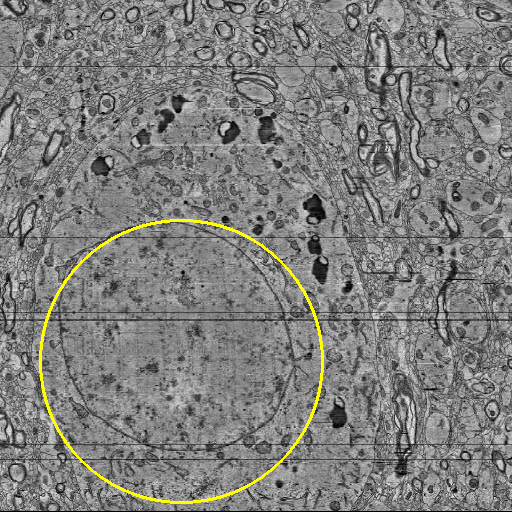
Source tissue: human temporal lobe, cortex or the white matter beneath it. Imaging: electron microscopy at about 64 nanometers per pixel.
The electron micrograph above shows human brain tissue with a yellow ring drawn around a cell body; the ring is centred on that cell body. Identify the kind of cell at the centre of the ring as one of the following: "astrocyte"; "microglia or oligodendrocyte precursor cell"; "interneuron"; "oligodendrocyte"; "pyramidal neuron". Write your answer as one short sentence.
The cell at the centre of the ring is a pyramidal neuron.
